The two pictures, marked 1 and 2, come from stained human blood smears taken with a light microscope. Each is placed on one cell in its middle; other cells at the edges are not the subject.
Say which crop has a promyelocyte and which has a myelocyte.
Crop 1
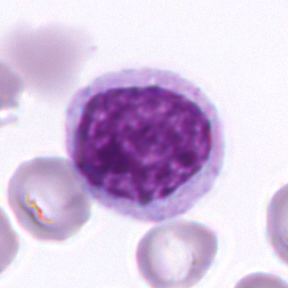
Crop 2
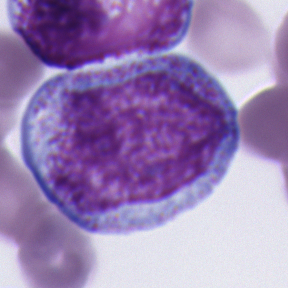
1: myelocyte
2: promyelocyte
